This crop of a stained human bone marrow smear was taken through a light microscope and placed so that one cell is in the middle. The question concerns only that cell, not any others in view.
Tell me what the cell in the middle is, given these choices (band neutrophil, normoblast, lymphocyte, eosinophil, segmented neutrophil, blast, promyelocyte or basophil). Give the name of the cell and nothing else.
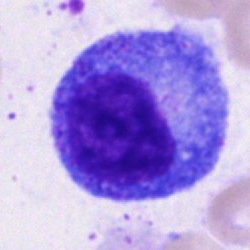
promyelocyte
